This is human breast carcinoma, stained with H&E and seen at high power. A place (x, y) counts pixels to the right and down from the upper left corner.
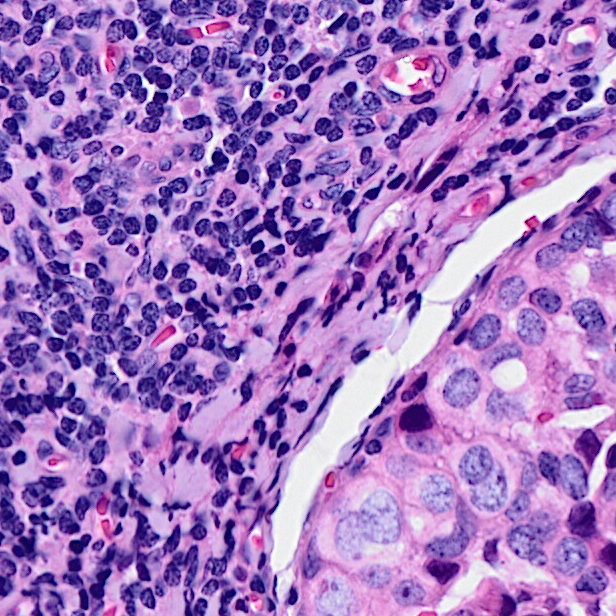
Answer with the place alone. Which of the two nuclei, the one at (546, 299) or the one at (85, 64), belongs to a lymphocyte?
(85, 64)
